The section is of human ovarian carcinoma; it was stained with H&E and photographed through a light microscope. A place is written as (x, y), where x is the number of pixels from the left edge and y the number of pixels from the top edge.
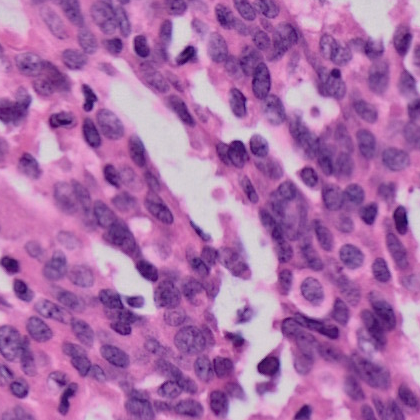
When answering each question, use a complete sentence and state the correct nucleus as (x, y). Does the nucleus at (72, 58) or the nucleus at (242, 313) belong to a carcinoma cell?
The nucleus whose position is (242, 313) belongs to a carcinoma cell.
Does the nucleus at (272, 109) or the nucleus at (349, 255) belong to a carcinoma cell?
The nucleus whose position is (272, 109) belongs to a carcinoma cell.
